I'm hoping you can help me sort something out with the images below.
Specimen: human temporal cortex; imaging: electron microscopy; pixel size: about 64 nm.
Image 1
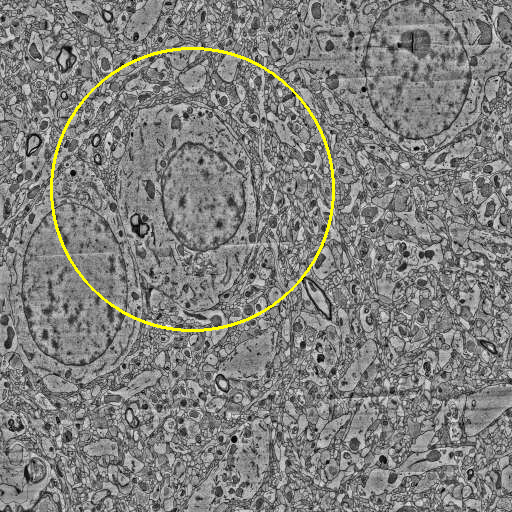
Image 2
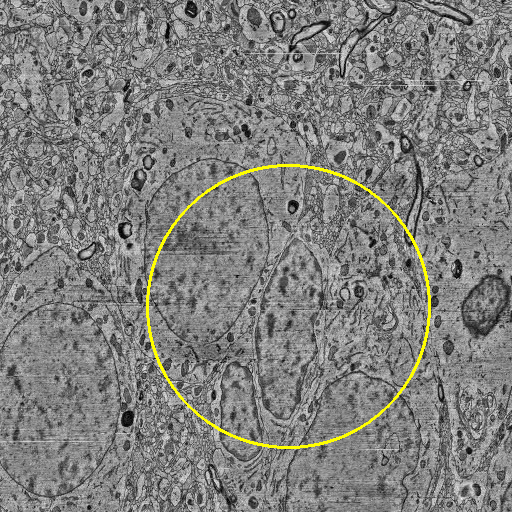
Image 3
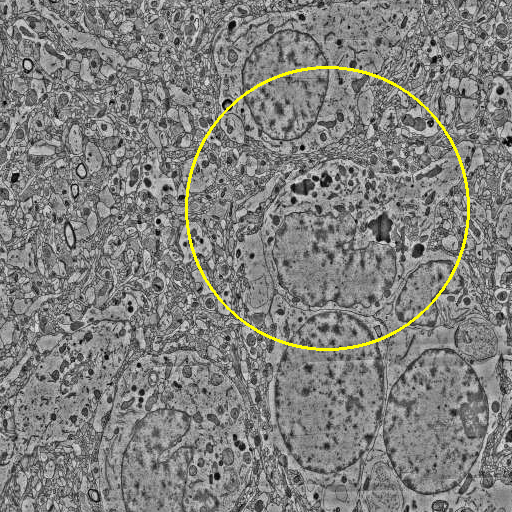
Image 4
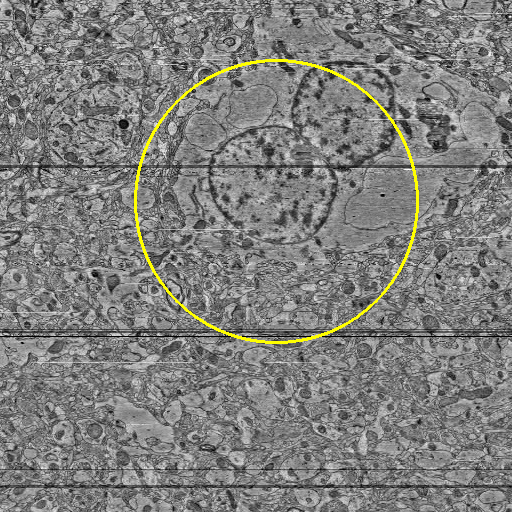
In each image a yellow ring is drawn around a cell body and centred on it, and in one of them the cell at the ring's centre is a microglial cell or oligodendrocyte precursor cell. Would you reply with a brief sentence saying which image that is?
In Image 2, the cell at the centre of the ring is the one you asked about.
